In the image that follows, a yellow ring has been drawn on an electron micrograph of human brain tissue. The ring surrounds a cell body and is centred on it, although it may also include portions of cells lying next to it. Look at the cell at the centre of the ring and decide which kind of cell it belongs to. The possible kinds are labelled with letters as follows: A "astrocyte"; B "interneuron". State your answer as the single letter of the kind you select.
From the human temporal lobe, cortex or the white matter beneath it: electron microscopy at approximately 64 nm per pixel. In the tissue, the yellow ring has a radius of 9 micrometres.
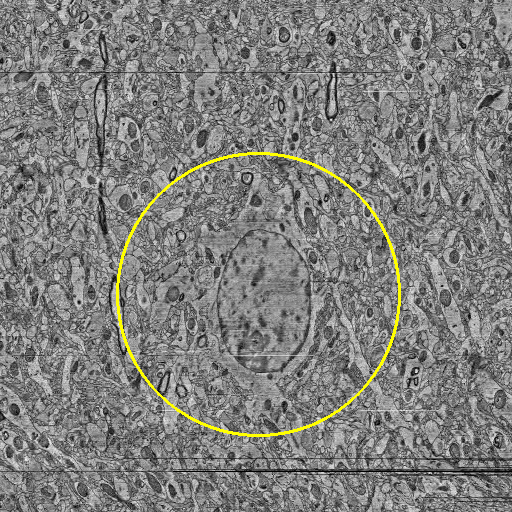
A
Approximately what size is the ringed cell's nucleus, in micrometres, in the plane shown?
The nucleus is about 9 micrometres in length and 6 in width, clearly longer than it is wide in this plane.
